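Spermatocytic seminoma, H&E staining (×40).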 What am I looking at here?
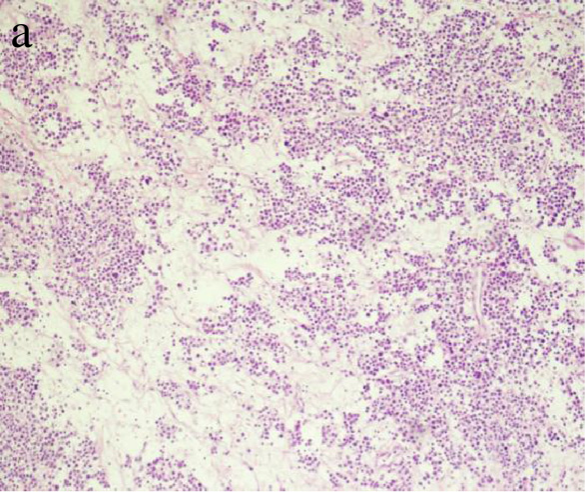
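A low-power view of a tumor made of round cells arranged in loose clusters, cords and sheets. The cells have round, dark purple nuclei and little cytoplasm and lie only loosely together, with little interstitial tissue between them. Broad pale areas crossed by fine, wispy pink strands separate the cell groups, giving the tissue a washed-out, edematous look. Clusters of small lymphocytes are not evident.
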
